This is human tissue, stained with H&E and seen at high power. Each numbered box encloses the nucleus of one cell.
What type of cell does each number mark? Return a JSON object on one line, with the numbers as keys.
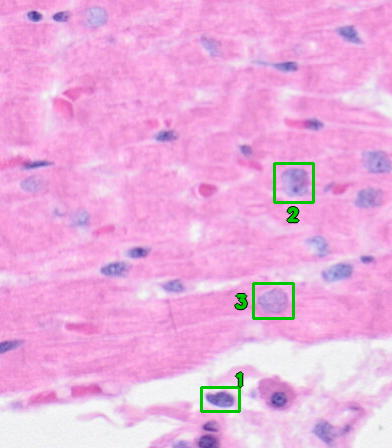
{"1": "fibroblast", "2": "cardiomyocyte", "3": "cardiomyocyte"}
